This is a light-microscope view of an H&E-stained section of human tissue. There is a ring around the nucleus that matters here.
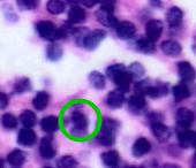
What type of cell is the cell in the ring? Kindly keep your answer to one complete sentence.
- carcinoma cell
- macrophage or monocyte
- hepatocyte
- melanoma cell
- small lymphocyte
Cell type answer for this item: the cell in the ring is a small lymphocyte.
